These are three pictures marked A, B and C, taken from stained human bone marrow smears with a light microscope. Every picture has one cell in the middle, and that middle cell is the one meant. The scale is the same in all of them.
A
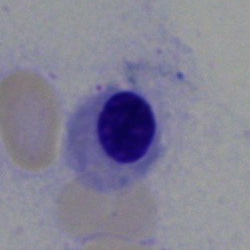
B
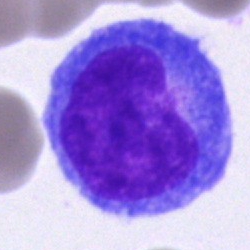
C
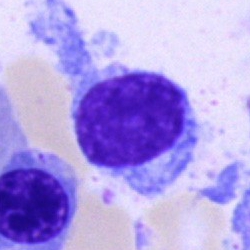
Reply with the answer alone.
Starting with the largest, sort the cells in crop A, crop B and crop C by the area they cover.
B, C, A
